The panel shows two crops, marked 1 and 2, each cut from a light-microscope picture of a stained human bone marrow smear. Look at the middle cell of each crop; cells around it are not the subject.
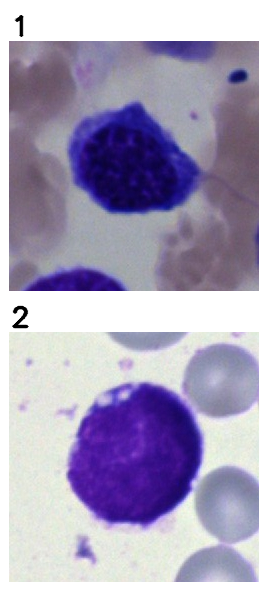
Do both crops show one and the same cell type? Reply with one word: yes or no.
no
